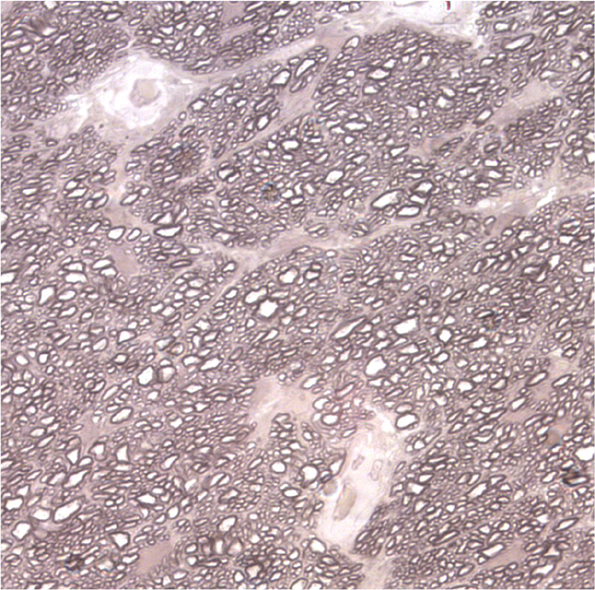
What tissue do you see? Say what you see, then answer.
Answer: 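Densely packed small round profiles with dark rims and pale centres, as in cross-cut myelinated axons. The profiles are grouped into bundles separated by pale septa.
Hence: optic nerves.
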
